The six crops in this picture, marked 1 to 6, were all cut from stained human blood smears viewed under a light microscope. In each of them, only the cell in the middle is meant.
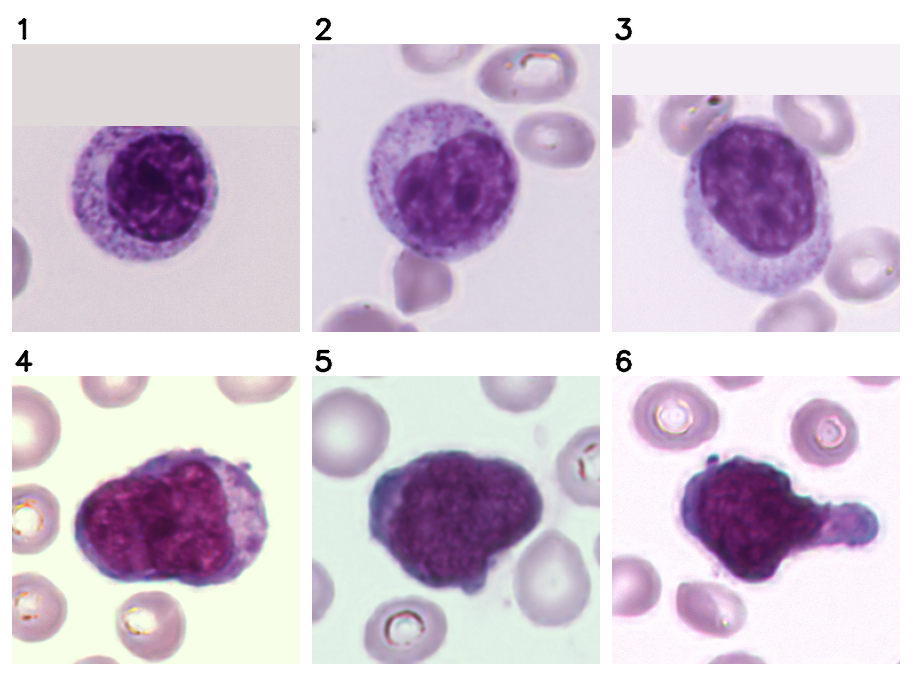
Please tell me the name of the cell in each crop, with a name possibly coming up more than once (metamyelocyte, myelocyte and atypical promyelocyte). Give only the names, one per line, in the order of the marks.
metamyelocyte
metamyelocyte
myelocyte
atypical promyelocyte
atypical promyelocyte
atypical promyelocyte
